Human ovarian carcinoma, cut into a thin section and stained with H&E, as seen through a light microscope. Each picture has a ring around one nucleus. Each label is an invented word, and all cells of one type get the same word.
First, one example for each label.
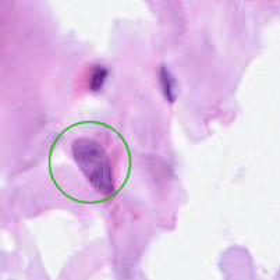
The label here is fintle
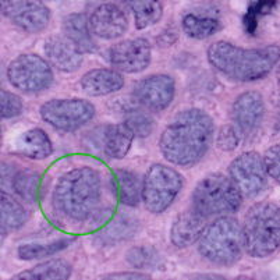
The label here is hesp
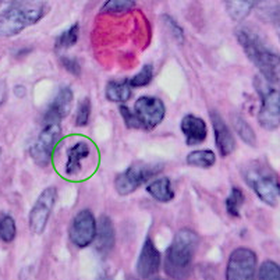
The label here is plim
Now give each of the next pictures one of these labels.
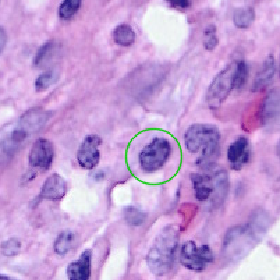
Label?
plim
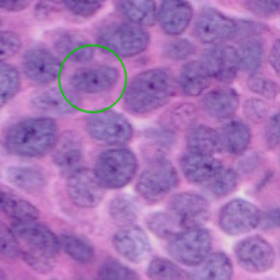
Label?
hesp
